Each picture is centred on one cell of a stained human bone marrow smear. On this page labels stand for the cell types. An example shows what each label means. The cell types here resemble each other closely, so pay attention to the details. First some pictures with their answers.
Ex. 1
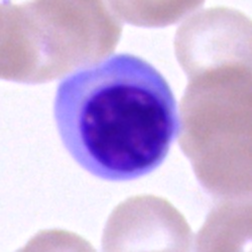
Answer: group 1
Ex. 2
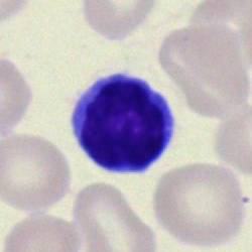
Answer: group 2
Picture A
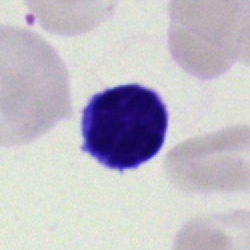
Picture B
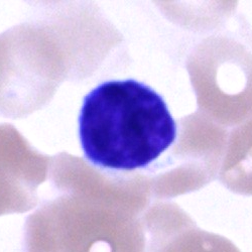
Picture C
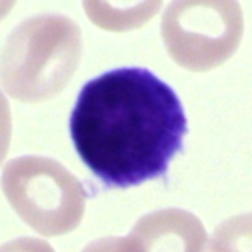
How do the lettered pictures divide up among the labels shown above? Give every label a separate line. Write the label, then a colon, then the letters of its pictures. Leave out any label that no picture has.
group 2: A, B, C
